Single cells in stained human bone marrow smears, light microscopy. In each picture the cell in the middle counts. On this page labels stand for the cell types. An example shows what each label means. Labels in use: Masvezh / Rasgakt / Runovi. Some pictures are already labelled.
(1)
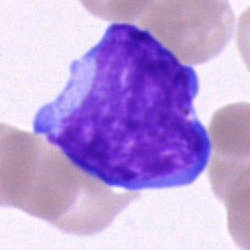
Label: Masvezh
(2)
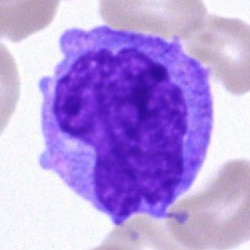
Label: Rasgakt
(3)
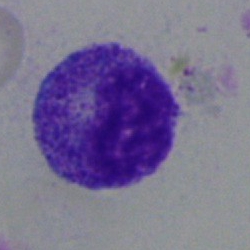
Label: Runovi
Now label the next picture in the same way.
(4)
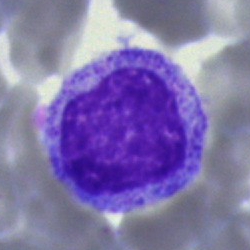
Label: Runovi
